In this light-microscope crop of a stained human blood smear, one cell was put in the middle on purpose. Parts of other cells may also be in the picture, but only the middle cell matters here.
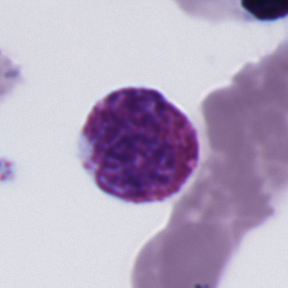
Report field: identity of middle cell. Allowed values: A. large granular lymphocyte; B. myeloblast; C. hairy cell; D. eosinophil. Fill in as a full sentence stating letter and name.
Option D is correct; the cell in the middle is an eosinophil.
